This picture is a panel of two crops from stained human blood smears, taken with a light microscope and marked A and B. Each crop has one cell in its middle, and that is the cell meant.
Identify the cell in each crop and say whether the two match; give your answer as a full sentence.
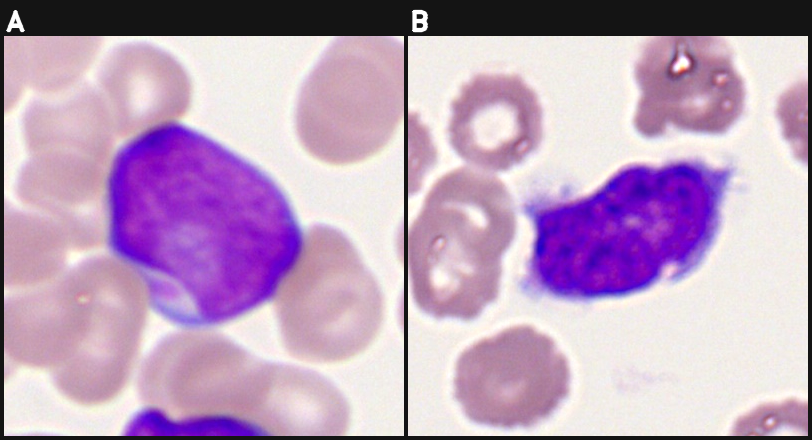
No, the cells are a blast in crop A and a monocyte in crop B.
